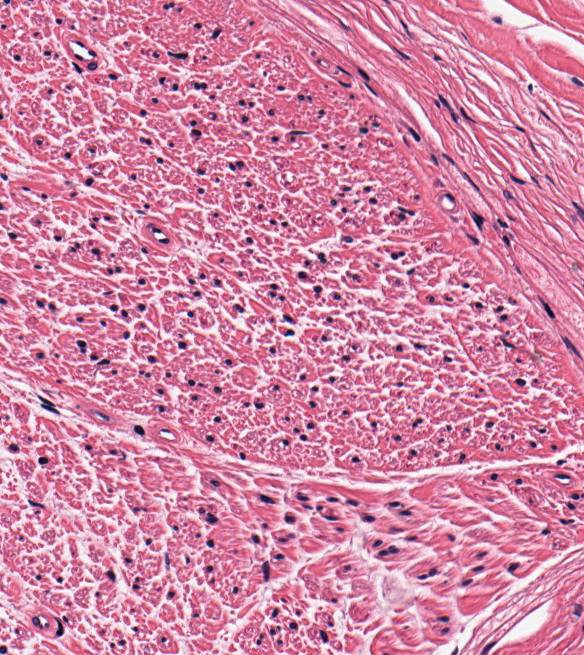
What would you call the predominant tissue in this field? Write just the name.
nerve fascicle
